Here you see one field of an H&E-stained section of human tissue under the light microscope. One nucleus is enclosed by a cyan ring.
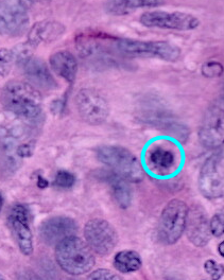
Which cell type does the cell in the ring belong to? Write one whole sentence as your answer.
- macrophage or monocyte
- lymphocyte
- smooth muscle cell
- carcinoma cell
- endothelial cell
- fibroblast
In this tissue sample, the cell in the ring is a lymphocyte.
